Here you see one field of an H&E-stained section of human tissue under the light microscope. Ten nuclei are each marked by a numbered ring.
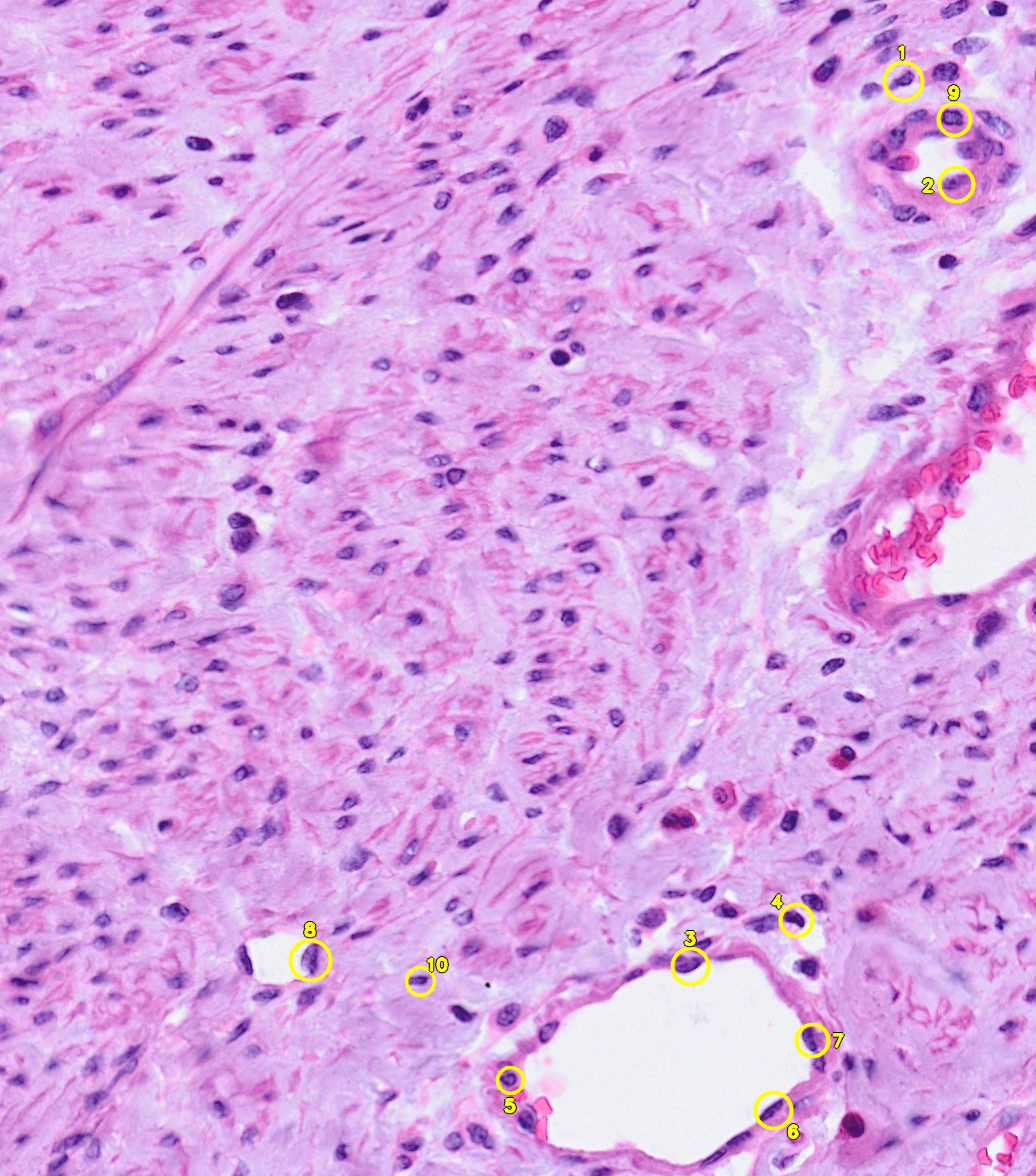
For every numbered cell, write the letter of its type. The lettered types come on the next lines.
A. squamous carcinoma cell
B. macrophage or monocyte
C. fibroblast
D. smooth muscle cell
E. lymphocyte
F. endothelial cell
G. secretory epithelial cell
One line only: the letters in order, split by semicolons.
E; F; F; E; F; F; F; F; D; C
